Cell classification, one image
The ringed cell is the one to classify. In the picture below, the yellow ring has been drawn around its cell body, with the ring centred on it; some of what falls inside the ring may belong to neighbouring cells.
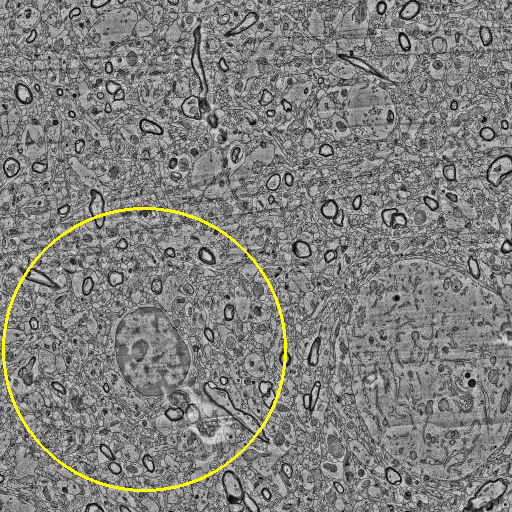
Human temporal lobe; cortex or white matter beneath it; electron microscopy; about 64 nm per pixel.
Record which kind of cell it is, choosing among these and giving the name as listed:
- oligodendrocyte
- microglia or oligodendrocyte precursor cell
microglia or oligodendrocyte precursor cell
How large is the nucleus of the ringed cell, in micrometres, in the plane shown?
Roughly 6 by 4 micrometres is the size of the nucleus in this plane.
